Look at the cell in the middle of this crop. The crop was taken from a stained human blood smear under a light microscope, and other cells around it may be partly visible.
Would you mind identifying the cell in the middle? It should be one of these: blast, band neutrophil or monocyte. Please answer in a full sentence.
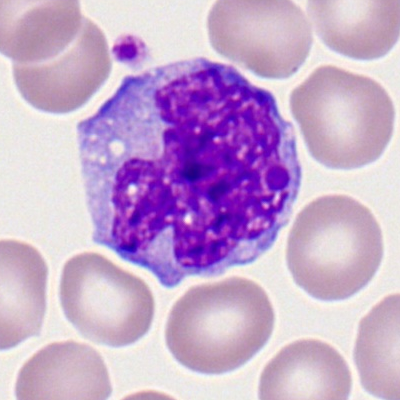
Centrally within this crop lies a monocyte.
